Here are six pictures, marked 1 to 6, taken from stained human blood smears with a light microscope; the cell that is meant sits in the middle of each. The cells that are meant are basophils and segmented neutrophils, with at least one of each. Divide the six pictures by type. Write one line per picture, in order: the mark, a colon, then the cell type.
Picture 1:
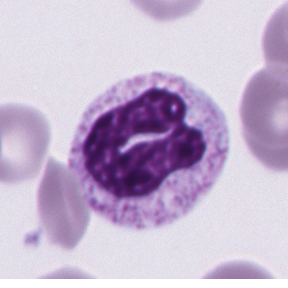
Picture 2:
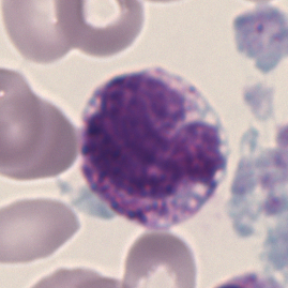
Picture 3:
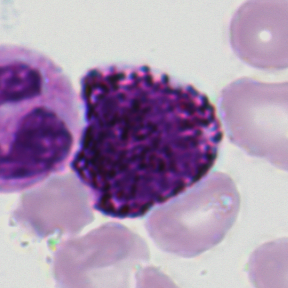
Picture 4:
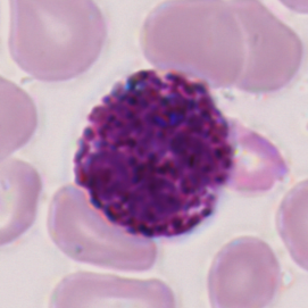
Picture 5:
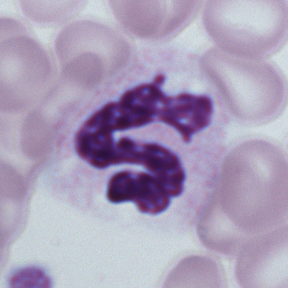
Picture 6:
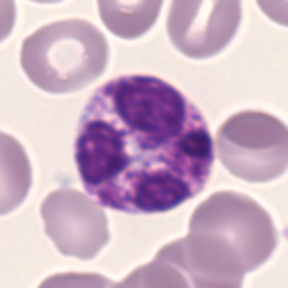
1: segmented neutrophil
2: basophil
3: basophil
4: basophil
5: segmented neutrophil
6: basophil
